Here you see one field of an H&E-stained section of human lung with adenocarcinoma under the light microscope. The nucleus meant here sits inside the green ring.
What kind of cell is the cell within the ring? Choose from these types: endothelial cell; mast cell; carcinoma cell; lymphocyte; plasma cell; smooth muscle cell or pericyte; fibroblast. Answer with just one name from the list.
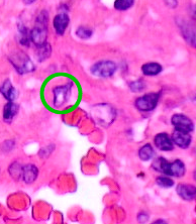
endothelial cell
